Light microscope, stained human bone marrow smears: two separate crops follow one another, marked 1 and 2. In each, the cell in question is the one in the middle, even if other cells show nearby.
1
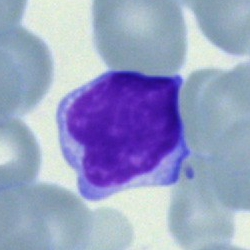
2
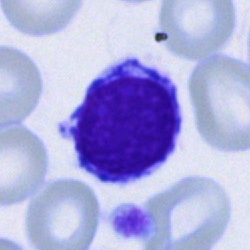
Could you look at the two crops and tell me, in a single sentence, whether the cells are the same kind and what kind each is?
Yes, the cells placed at the centre of both crops are lymphocytes.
